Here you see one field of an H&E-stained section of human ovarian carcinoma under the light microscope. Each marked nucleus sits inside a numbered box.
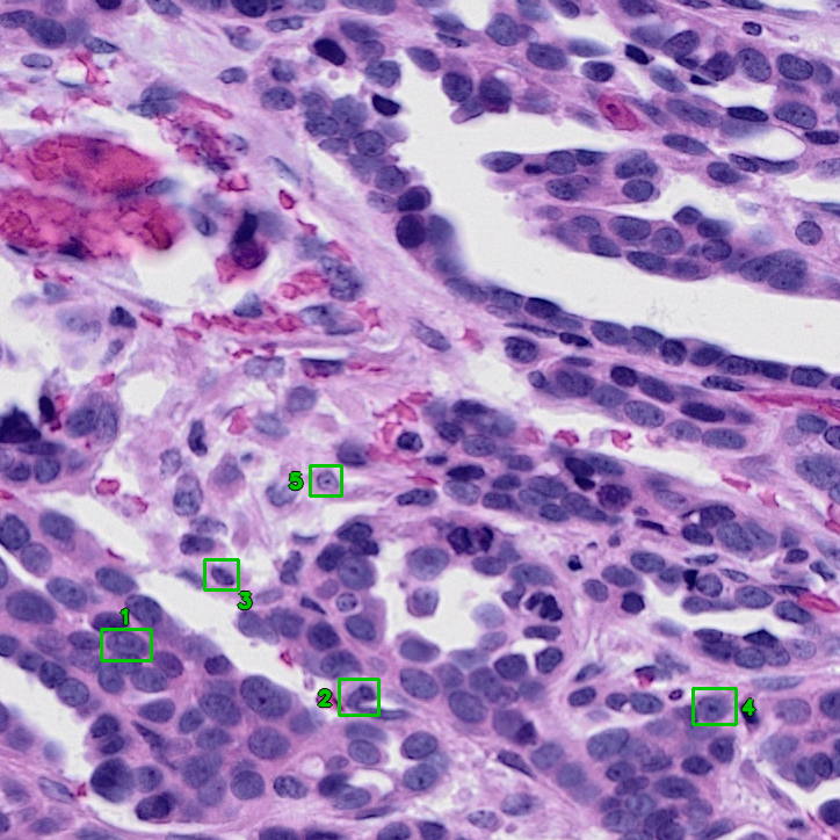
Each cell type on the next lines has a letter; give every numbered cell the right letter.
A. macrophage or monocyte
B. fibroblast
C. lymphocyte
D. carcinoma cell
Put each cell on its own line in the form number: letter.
1: D
2: A
3: A
4: D
5: A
